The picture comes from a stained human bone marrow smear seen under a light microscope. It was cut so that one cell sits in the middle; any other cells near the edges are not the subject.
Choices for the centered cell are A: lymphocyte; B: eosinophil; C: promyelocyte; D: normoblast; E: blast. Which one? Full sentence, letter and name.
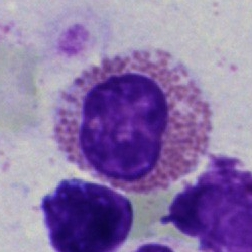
The expected answer is option B, the central cell being an eosinophil.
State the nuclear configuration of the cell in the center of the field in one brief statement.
Just one compact nuclear mass here, round, oval or kidney-shaped.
